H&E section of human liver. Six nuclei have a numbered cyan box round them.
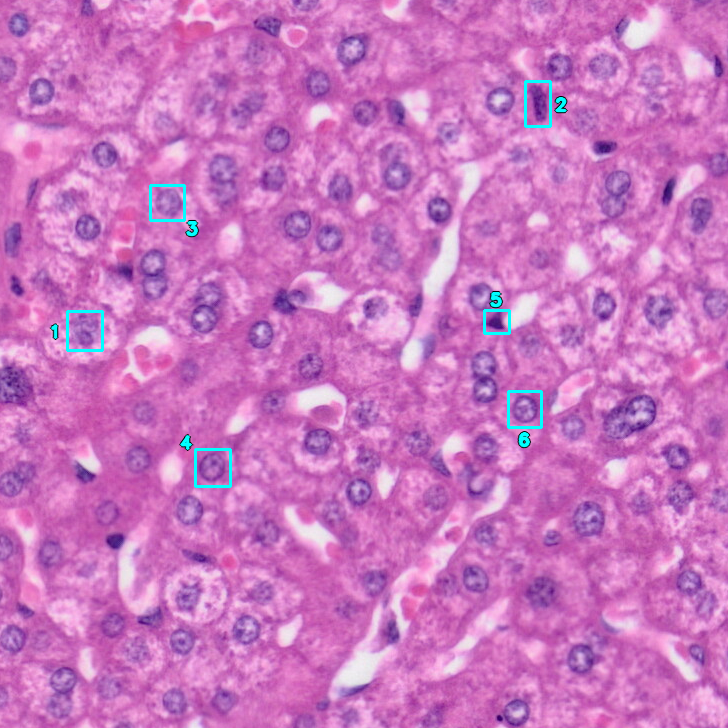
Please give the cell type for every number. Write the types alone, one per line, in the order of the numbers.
hepatocyte
fibroblast or stellate cell
hepatocyte
hepatocyte
fibroblast or stellate cell
hepatocyte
